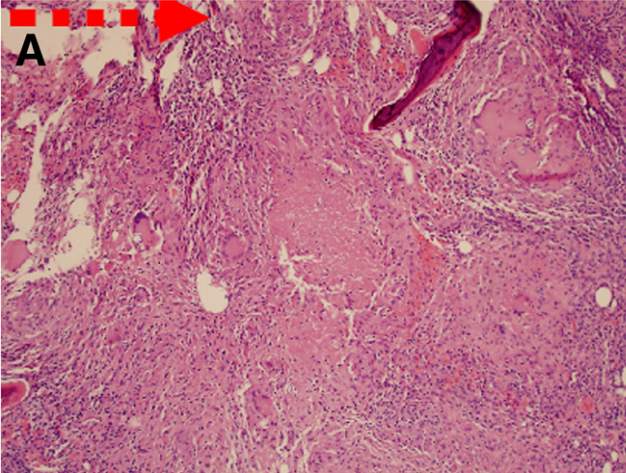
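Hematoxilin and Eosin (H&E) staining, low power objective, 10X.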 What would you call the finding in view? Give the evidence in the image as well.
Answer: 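Granulomatous inflammation. Dense infiltrate of small dark-purple nuclei throughout the tissue. Paler pink nodular areas of cells with oval nuclei set within the infiltrate.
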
